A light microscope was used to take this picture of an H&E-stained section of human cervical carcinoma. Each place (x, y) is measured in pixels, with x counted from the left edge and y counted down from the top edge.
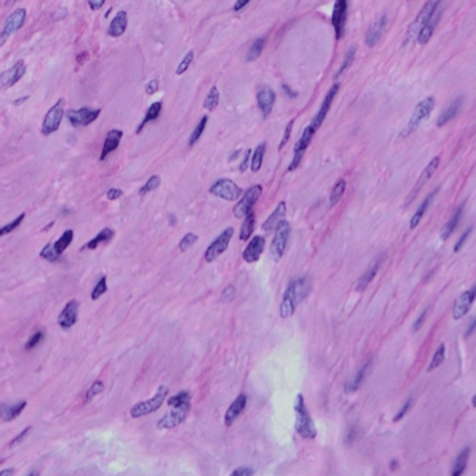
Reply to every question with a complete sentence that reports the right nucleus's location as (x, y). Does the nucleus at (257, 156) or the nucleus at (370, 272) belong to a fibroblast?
It is at (257, 156) that the nucleus of a fibroblast is found.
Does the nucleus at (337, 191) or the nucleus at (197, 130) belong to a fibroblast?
The nucleus at (197, 130) is housed in a fibroblast.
